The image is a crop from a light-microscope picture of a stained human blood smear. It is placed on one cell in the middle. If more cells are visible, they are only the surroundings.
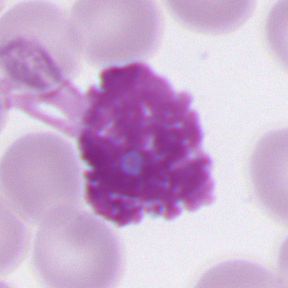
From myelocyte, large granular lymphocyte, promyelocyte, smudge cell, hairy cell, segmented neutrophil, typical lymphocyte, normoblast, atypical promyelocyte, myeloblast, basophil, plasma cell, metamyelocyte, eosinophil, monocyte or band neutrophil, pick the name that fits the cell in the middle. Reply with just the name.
smudge cell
